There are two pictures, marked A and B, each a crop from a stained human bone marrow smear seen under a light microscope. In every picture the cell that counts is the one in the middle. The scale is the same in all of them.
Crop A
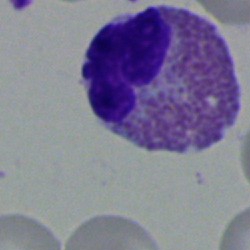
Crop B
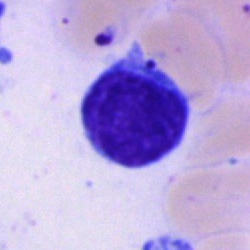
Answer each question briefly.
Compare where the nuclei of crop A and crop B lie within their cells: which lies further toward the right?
B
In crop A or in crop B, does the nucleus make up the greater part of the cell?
B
